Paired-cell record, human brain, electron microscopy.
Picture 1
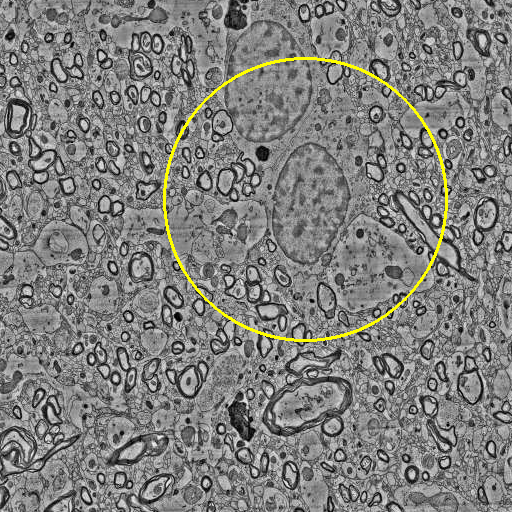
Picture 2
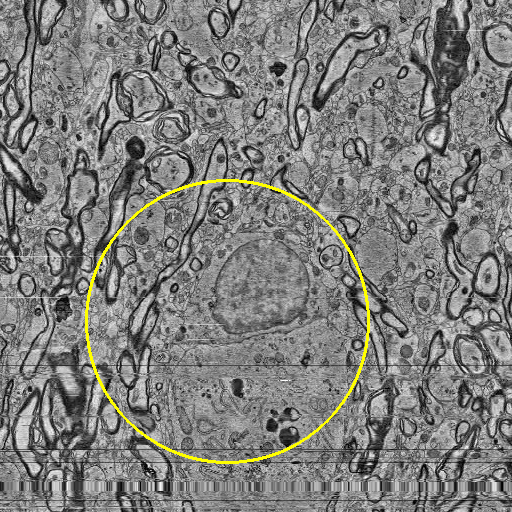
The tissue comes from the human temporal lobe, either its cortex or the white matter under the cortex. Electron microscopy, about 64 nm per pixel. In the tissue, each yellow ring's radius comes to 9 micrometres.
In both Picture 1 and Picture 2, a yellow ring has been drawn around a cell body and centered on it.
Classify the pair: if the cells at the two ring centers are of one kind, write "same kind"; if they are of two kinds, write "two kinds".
same kind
